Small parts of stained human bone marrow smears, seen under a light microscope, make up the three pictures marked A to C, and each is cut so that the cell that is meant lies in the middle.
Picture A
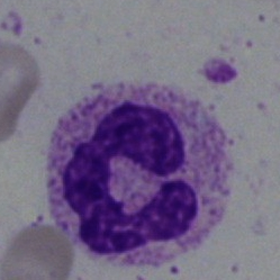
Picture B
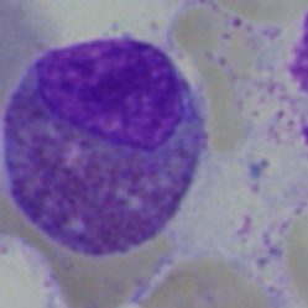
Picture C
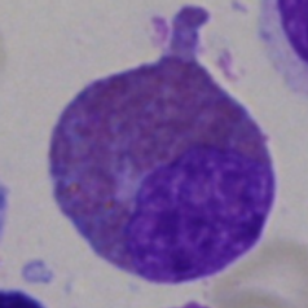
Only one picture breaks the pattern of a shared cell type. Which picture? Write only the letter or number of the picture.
A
